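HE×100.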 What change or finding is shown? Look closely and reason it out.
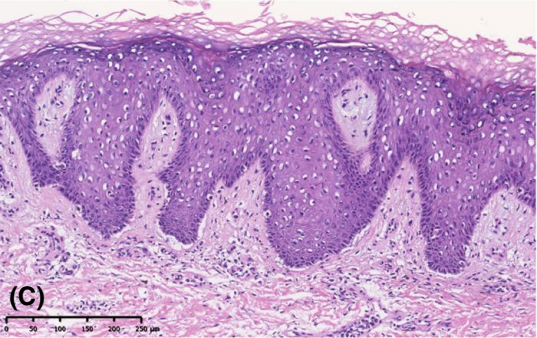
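The epidermis is markedly thickened. Rete ridges are long and extend deep into the dermis.
Hence: epidermal hyperplasia.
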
